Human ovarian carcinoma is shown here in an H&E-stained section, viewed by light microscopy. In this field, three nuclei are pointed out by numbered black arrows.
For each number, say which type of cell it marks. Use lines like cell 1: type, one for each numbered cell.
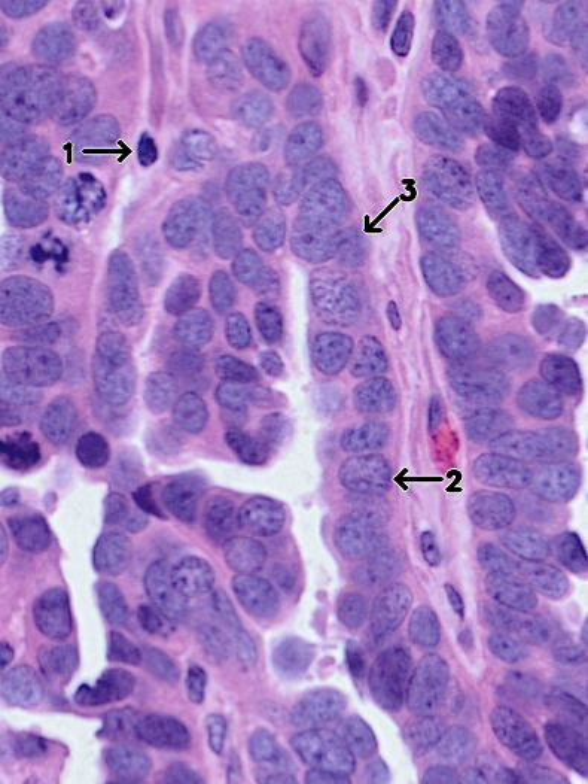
cell 1: lymphocyte
cell 2: carcinoma cell
cell 3: carcinoma cell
